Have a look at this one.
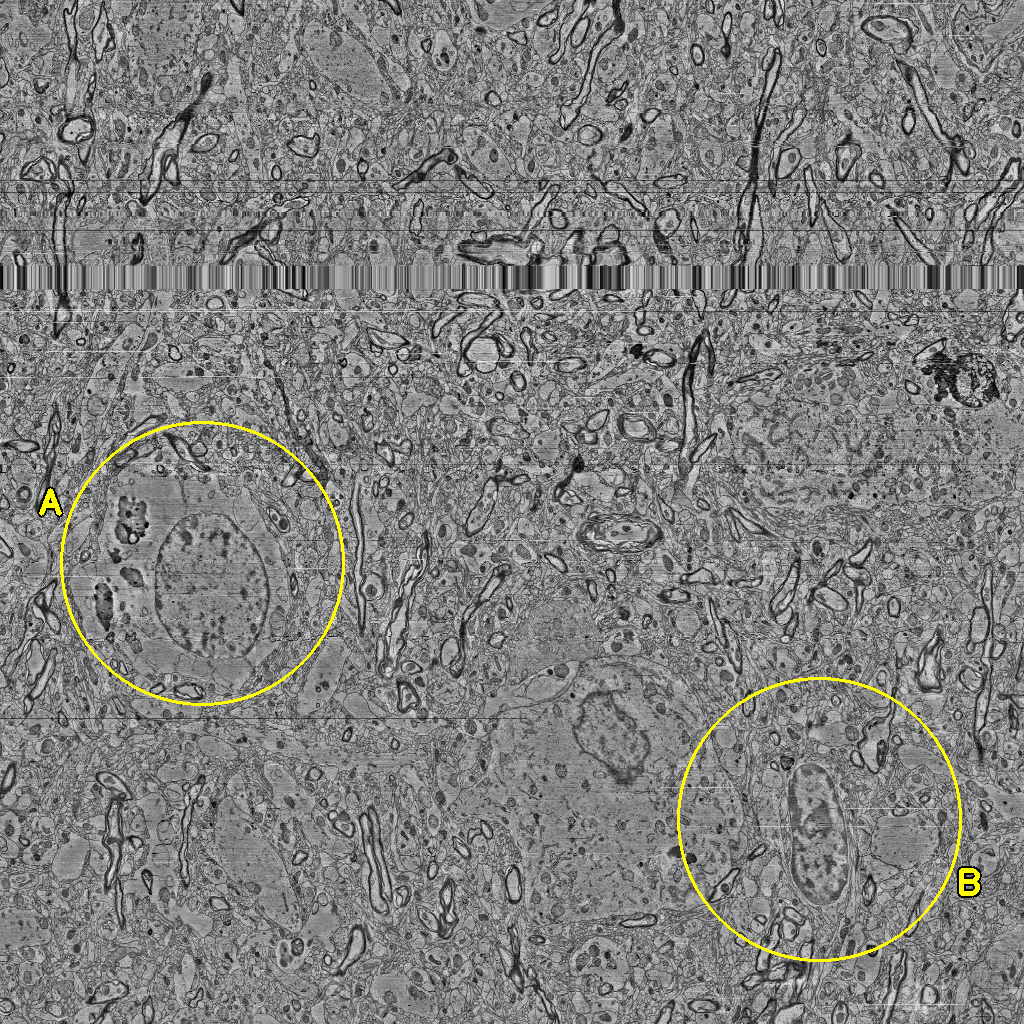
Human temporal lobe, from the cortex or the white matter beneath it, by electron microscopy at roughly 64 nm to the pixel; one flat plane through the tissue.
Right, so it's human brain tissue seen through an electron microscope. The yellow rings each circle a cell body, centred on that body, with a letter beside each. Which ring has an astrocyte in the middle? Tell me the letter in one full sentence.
That kind of cell is sitting in the middle of ring A there.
